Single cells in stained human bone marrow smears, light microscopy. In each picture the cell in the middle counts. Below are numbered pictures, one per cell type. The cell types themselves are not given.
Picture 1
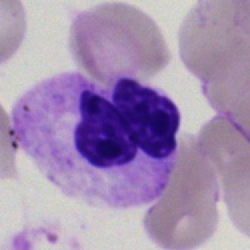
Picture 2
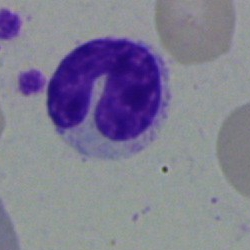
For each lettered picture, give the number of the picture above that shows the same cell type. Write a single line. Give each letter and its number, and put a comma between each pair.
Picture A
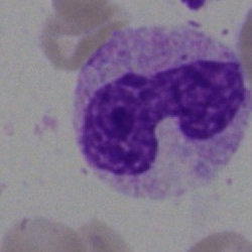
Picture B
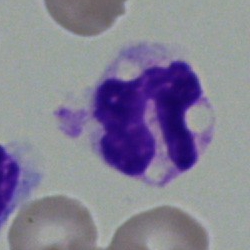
A 2, B 1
